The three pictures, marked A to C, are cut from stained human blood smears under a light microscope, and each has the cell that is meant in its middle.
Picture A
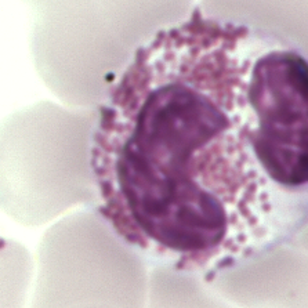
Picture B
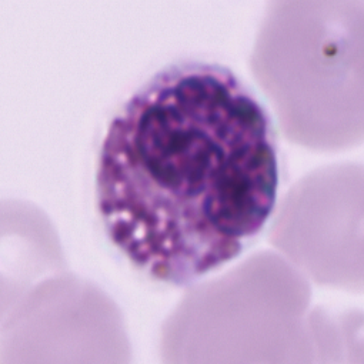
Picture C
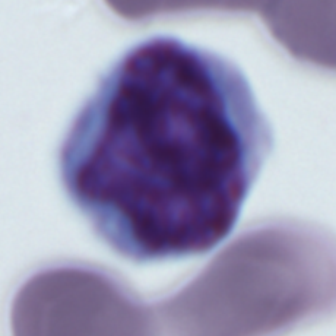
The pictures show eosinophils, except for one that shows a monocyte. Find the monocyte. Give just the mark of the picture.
C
